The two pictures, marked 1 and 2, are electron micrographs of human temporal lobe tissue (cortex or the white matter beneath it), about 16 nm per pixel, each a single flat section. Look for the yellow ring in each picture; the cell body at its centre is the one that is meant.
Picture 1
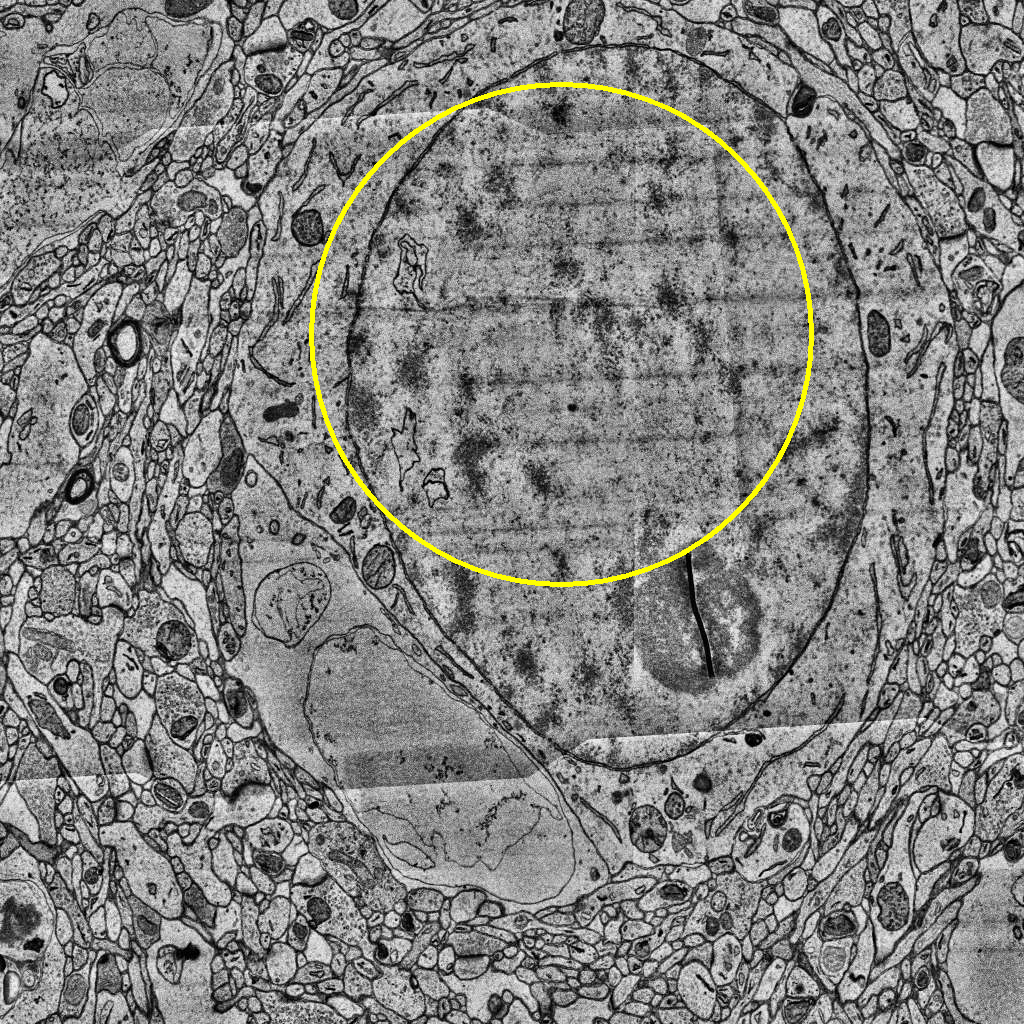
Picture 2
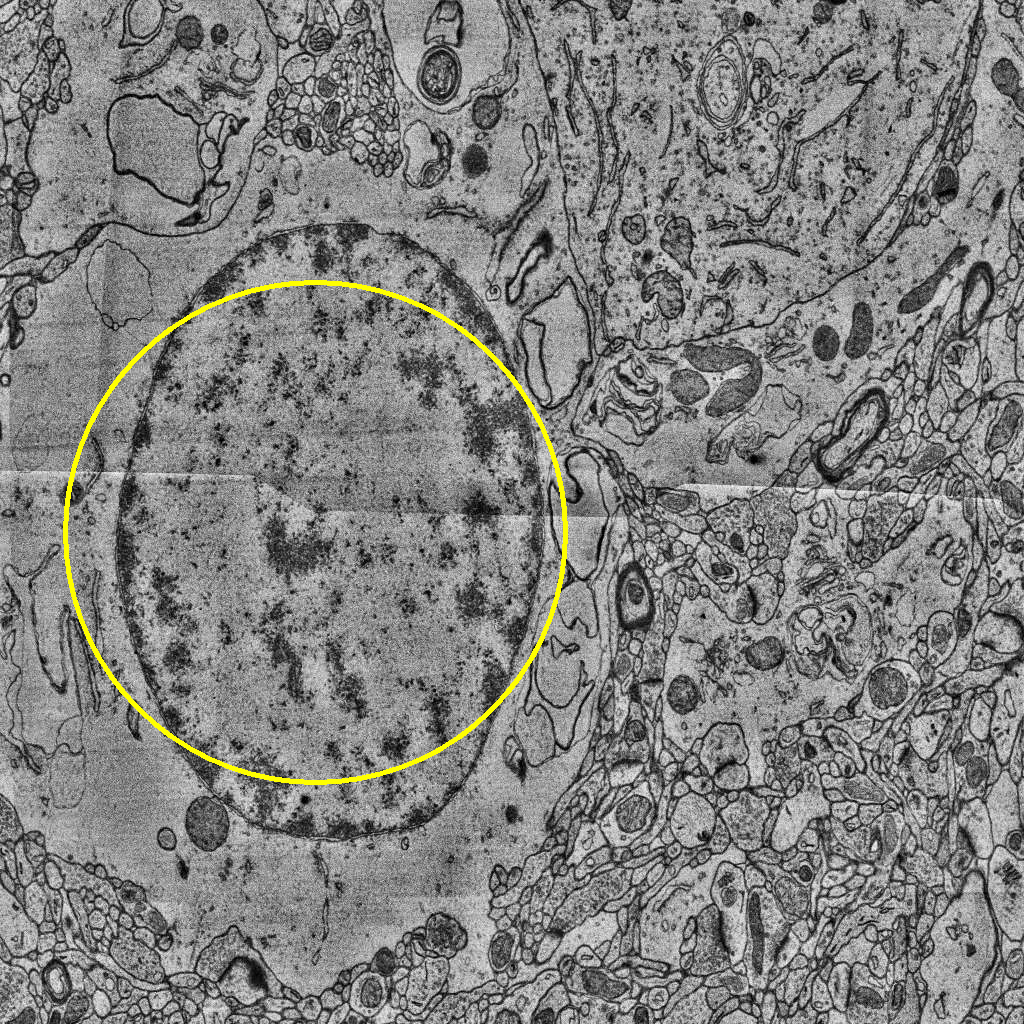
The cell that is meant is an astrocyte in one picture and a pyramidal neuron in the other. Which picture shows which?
Picture 1 is of a pyramidal neuron, and picture 2 is of an astrocyte.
